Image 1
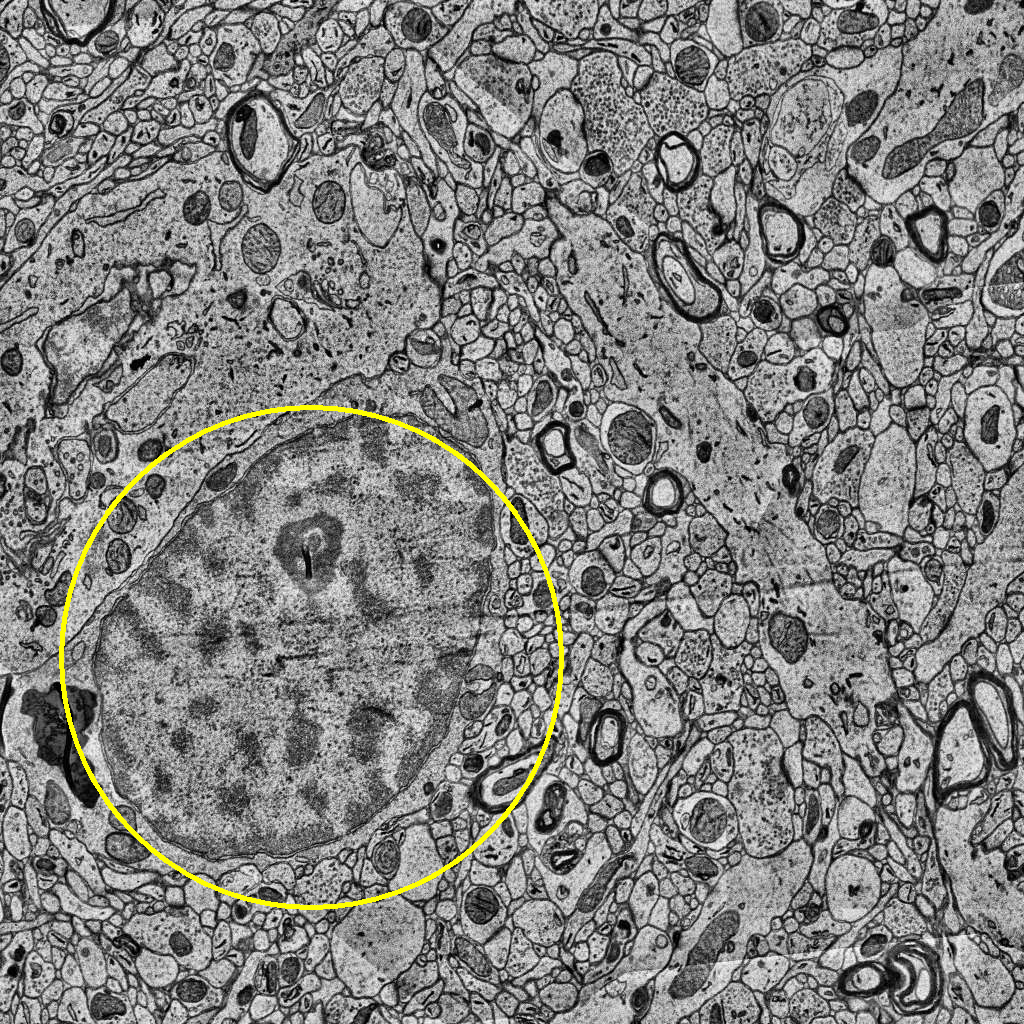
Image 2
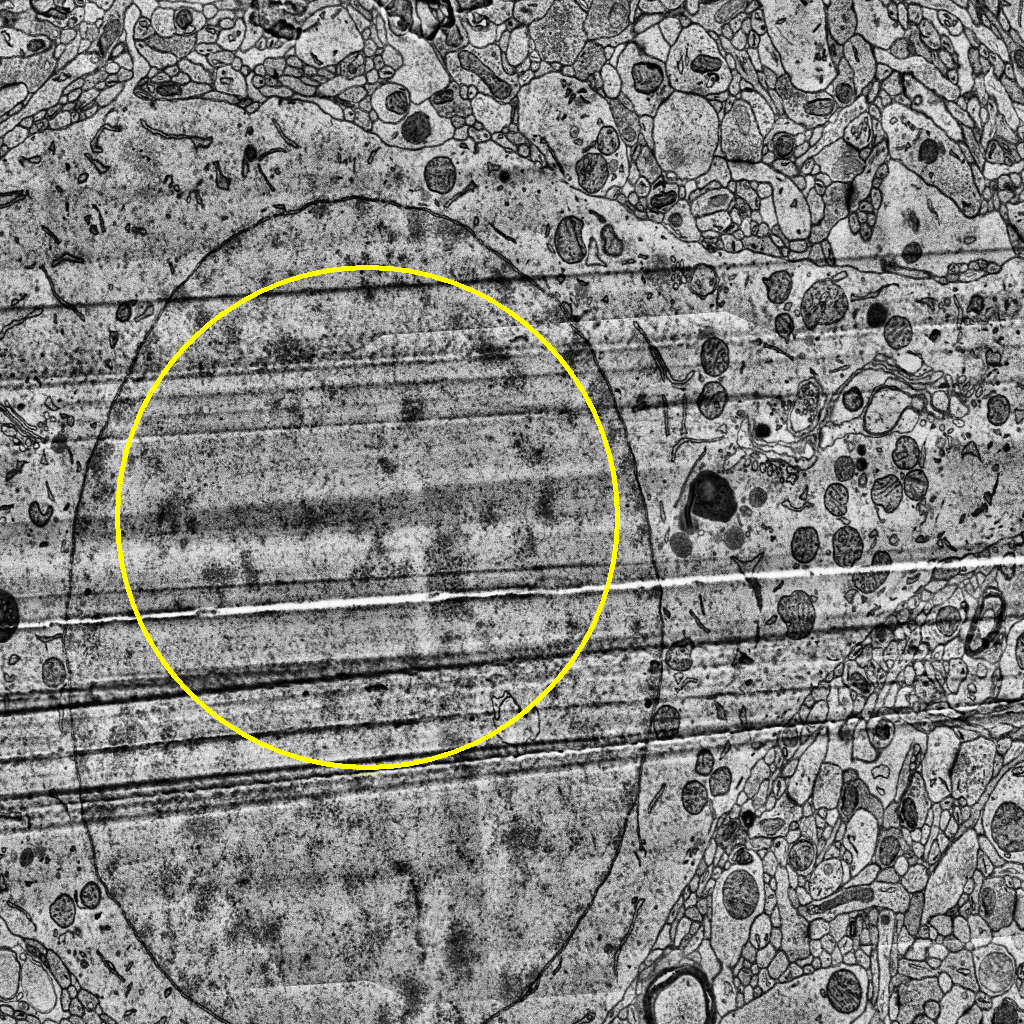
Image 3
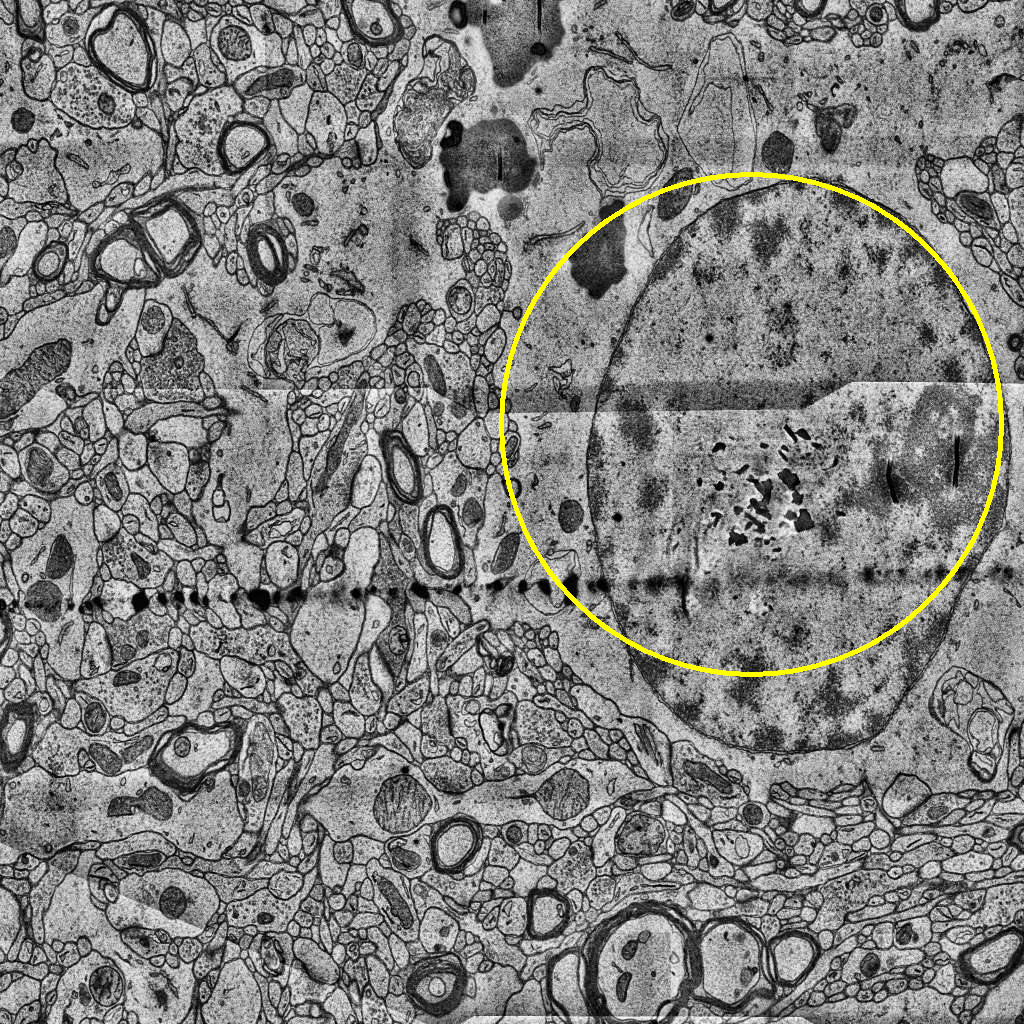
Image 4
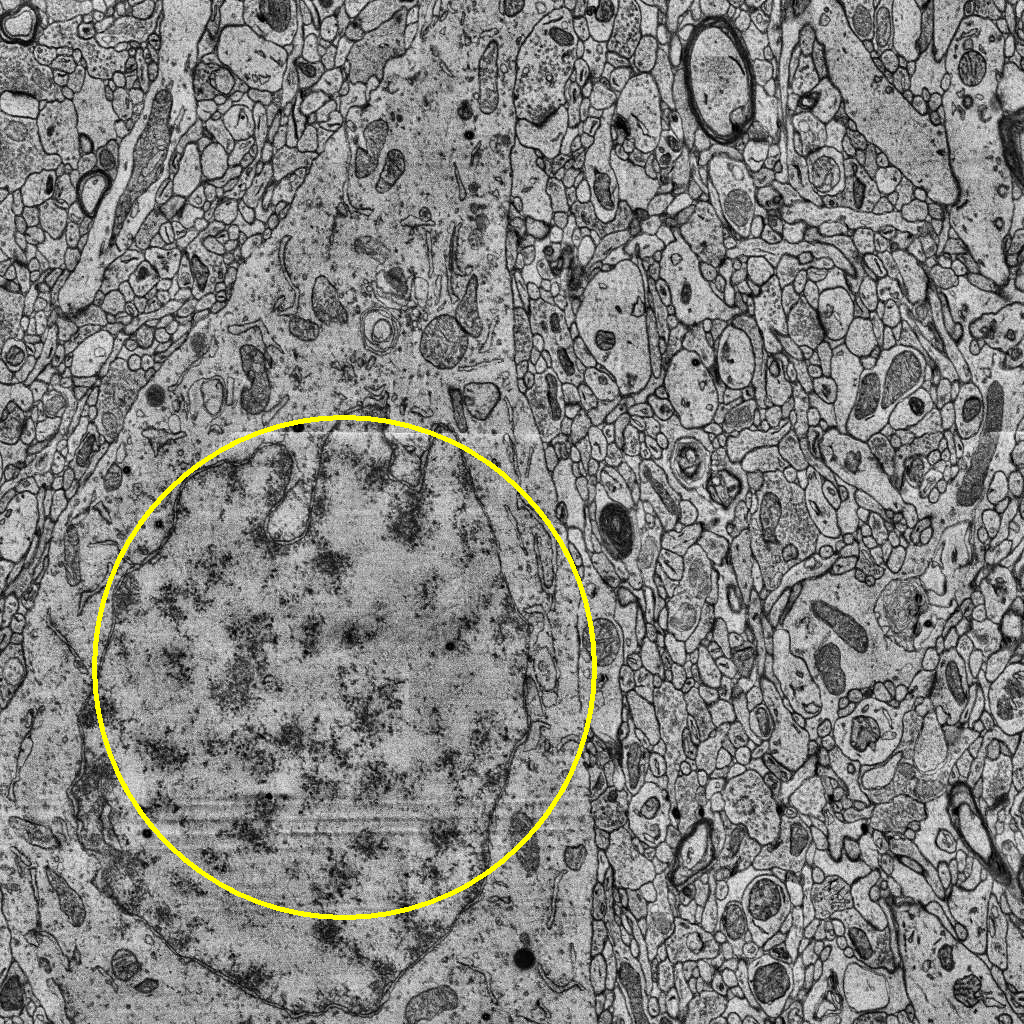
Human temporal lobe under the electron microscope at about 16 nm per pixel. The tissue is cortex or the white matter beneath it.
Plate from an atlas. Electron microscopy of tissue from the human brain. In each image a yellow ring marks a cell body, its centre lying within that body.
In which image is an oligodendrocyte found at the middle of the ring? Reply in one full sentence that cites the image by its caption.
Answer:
The requested cell is the one at the ring's centre in Image 1.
